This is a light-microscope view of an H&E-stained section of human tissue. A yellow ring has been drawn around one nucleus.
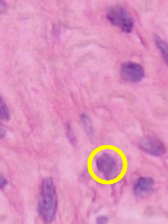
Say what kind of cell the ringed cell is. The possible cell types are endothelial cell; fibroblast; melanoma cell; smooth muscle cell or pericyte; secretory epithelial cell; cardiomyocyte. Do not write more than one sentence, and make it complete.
With respect to cell type, the ringed cell is a smooth muscle cell or pericyte.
